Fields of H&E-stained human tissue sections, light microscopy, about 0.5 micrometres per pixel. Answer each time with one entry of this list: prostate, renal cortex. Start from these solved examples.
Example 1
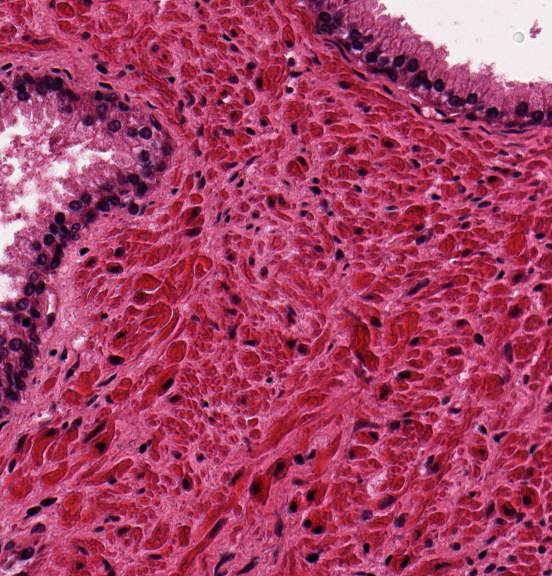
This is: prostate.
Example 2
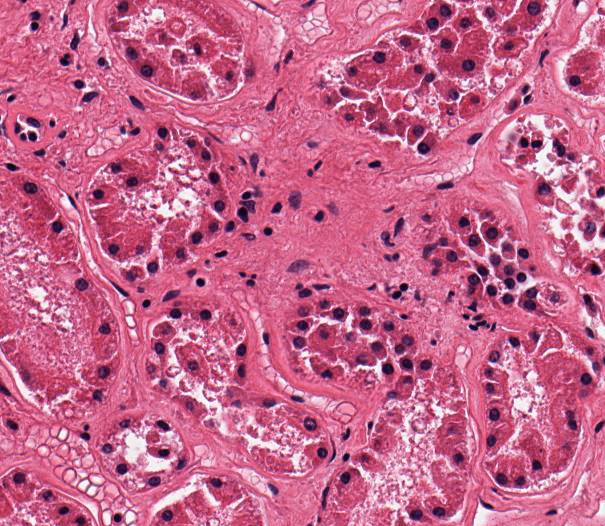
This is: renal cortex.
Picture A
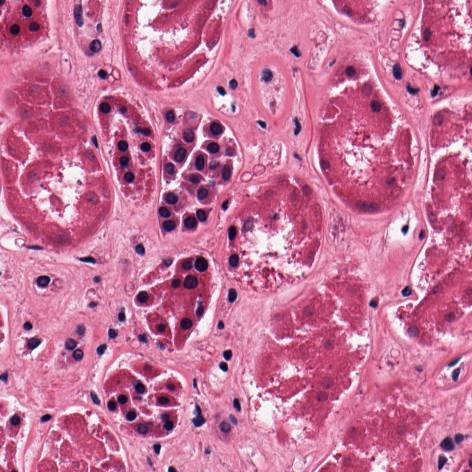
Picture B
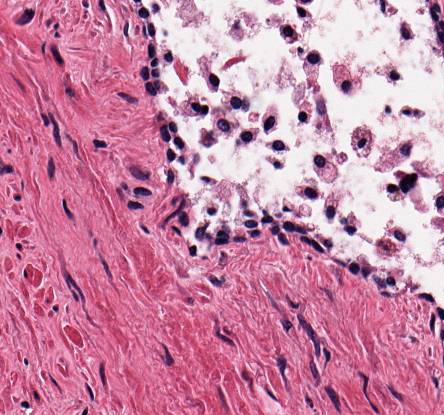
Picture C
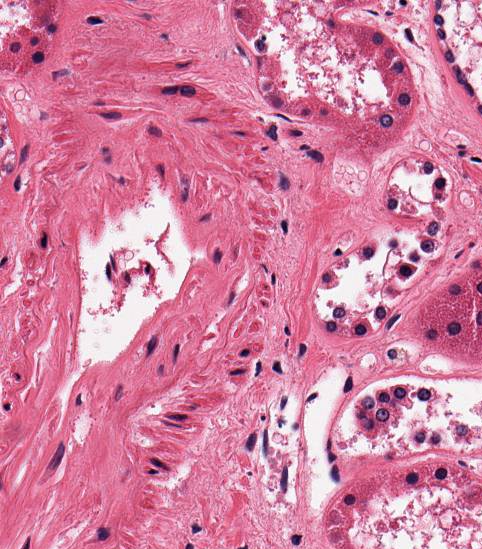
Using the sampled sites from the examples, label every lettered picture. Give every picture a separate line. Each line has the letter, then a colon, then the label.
A: renal cortex.
B: prostate.
C: renal cortex.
